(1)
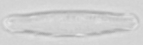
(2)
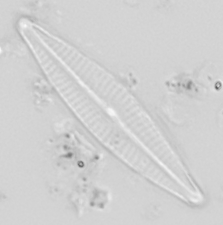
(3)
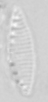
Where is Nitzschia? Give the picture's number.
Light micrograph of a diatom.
3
